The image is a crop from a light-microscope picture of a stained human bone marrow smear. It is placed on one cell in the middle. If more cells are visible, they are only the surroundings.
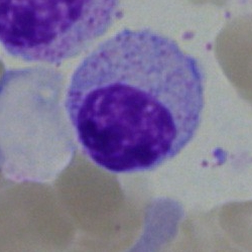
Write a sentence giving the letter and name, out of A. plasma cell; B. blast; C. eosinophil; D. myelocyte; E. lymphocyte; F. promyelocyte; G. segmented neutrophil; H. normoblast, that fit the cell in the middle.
Option D stands as correct, the central cell being a myelocyte.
